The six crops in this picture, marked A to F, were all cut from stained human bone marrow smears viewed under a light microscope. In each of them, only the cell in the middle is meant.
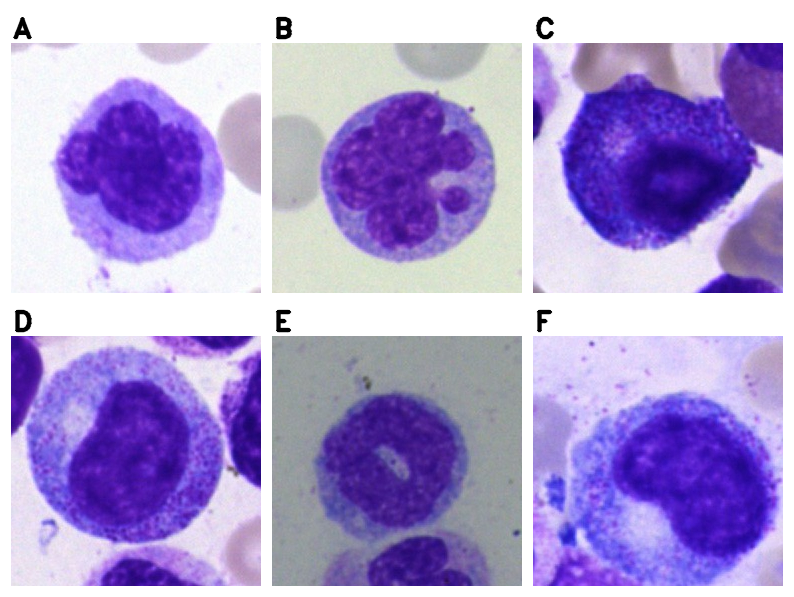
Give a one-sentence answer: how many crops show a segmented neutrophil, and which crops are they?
No segmented neutrophils occur among the crops, so the count is zero.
